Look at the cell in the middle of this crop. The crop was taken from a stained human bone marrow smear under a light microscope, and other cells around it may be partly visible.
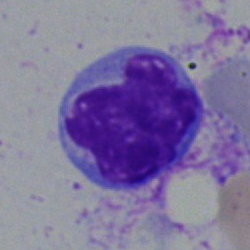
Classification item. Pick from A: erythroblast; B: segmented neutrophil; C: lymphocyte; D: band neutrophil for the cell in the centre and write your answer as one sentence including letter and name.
The centered cell is a lymphocyte, which is why option C is right.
